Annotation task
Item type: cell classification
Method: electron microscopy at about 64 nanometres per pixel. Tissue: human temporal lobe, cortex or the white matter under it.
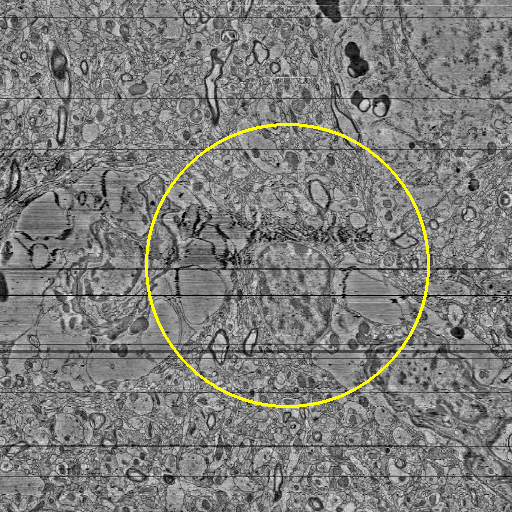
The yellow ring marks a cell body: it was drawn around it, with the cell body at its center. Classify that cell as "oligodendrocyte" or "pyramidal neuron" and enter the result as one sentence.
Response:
The ring's center falls on an oligodendrocyte.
